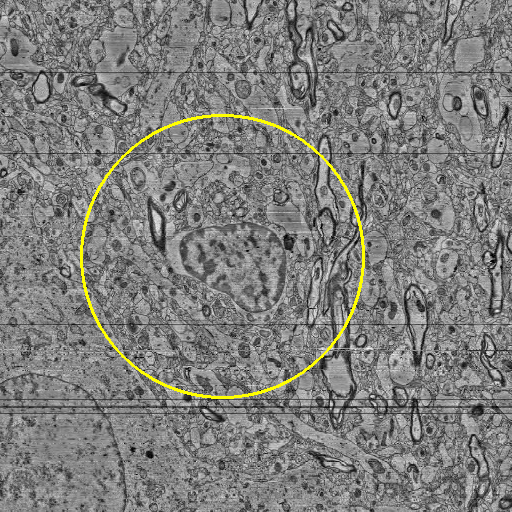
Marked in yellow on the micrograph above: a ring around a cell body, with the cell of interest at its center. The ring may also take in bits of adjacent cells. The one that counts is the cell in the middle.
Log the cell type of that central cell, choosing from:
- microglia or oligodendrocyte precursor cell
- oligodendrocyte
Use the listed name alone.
microglia or oligodendrocyte precursor cell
